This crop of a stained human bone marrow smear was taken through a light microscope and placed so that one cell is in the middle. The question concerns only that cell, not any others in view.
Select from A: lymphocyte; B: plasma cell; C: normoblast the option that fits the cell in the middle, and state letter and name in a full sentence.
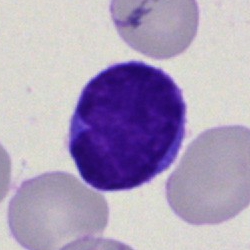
The central cell is a lymphocyte, which makes option A the right answer.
